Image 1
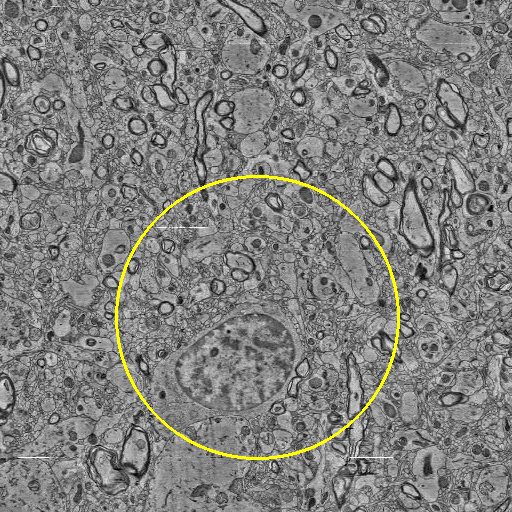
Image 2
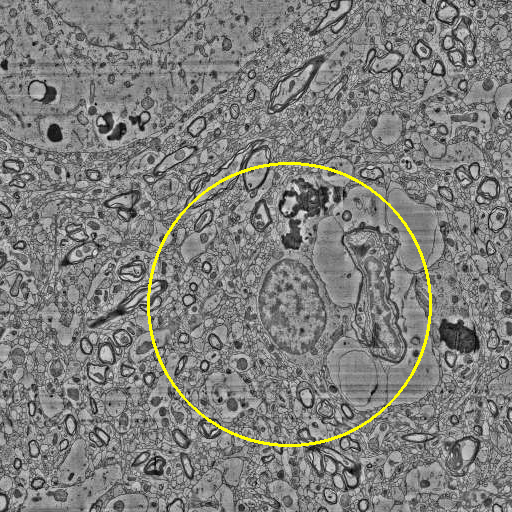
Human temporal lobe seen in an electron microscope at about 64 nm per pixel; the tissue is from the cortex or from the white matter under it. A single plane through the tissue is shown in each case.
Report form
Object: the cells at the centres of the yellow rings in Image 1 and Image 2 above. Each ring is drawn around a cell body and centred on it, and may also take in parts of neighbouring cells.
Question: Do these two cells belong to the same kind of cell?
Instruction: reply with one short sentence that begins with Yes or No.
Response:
Yes, both belong to the same kind of cell.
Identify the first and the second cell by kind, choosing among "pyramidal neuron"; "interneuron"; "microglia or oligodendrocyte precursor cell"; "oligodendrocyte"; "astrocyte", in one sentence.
Each cell at the centre of a ring is an oligodendrocyte.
